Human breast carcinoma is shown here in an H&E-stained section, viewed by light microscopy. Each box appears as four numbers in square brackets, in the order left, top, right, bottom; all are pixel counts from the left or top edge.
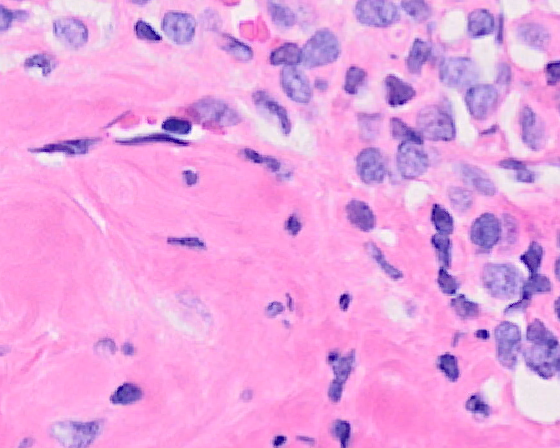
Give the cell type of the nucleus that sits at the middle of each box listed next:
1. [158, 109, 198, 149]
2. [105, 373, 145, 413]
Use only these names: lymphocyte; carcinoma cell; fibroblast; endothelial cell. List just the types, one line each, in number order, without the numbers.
endothelial cell
lymphocyte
